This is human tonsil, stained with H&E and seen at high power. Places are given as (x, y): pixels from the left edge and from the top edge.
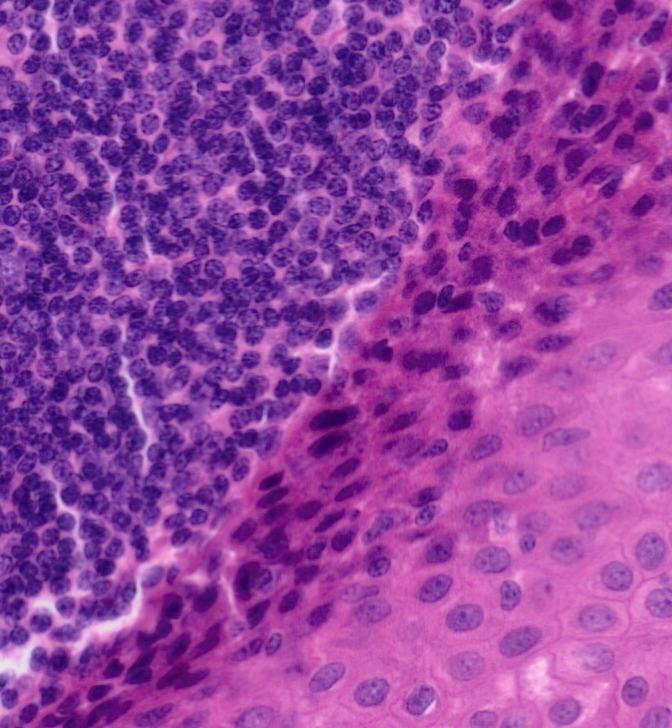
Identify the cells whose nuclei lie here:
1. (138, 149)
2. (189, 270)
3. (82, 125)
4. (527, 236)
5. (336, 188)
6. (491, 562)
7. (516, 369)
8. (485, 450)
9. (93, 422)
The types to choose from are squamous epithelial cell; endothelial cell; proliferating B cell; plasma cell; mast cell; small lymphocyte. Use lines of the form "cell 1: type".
cell 1: small lymphocyte
cell 2: small lymphocyte
cell 3: small lymphocyte
cell 4: squamous epithelial cell
cell 5: small lymphocyte
cell 6: squamous epithelial cell
cell 7: squamous epithelial cell
cell 8: squamous epithelial cell
cell 9: small lymphocyte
